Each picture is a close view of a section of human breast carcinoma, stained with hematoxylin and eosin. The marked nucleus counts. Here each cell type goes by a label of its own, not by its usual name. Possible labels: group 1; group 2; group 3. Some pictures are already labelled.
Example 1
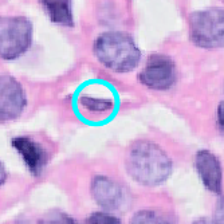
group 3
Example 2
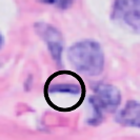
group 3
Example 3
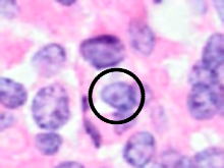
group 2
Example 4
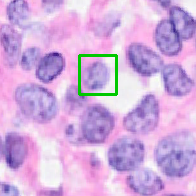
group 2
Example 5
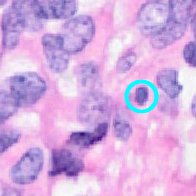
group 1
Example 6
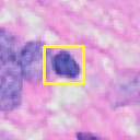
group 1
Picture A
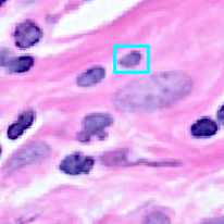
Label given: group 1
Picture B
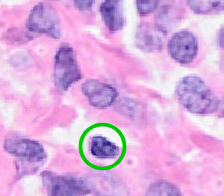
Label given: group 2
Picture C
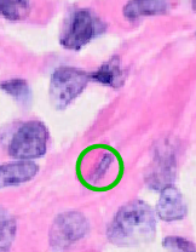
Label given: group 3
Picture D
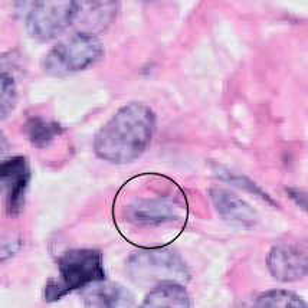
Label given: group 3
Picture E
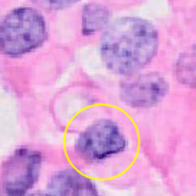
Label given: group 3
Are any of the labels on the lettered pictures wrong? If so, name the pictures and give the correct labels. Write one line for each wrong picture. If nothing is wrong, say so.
B: change group 2 to group 1
E: change group 3 to group 2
